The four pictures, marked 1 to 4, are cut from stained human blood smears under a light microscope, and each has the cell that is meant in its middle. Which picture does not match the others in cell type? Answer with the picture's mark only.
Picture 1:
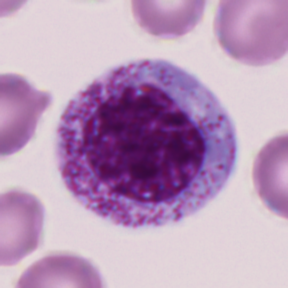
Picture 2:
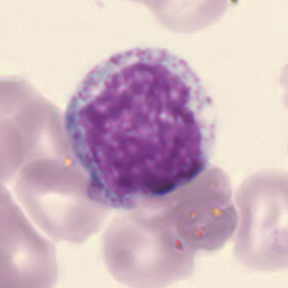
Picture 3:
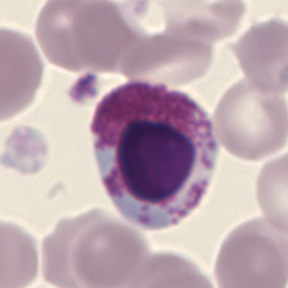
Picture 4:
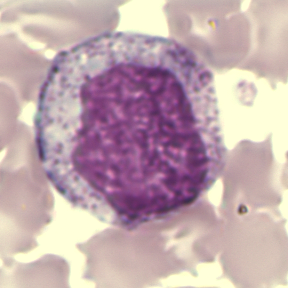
3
